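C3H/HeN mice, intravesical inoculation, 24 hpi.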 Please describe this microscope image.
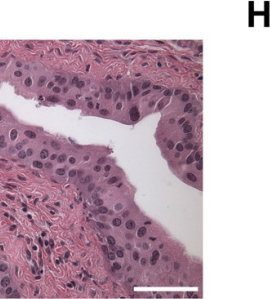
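This is a section of the bladder wall showing an intact epithelial lining around slit-like open spaces of the lumen. The lining is several cell layers thick. Its cells are plump, with round to oval nuclei and pink cytoplasm. Beneath the epithelium lies pink, wavy fibrous tissue with scattered elongated nuclei. Only a few small dark cells are seen, and the surface is not crowded by them.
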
